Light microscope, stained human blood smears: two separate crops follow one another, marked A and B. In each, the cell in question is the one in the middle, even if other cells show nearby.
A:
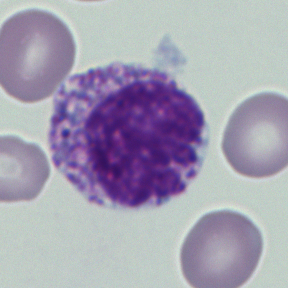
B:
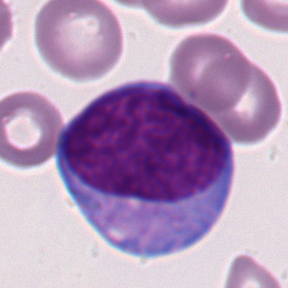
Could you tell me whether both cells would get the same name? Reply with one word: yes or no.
no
